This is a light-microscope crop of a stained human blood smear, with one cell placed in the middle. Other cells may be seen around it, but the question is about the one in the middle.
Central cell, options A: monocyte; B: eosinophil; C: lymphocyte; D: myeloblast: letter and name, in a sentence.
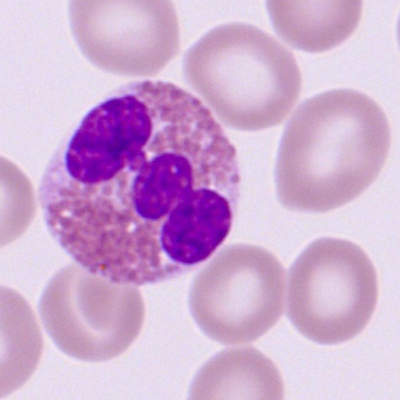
Located in the middle of the crop is an eosinophil, and option B is therefore correct.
